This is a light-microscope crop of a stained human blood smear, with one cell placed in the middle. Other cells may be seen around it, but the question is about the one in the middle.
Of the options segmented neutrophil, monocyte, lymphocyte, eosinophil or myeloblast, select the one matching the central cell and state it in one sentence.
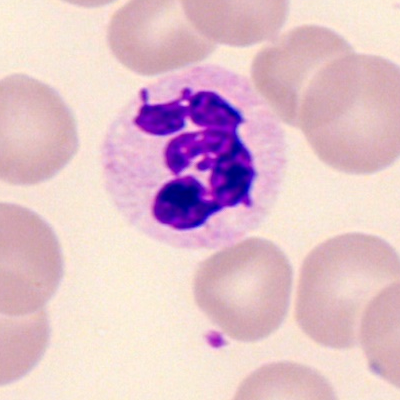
The cell under consideration, at the middle of the crop, is a segmented neutrophil.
